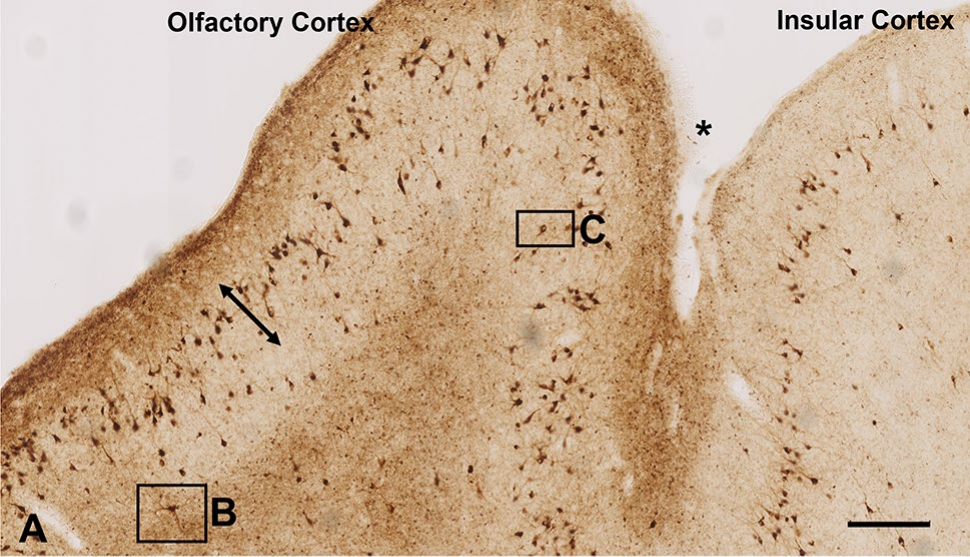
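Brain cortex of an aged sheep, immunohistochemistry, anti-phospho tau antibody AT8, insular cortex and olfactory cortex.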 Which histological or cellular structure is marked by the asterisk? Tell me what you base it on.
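Rhinal sulcus. The asterisk sits at the mouth of a deep cleft in the cortical surface. The cleft separates two folds of cortex.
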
